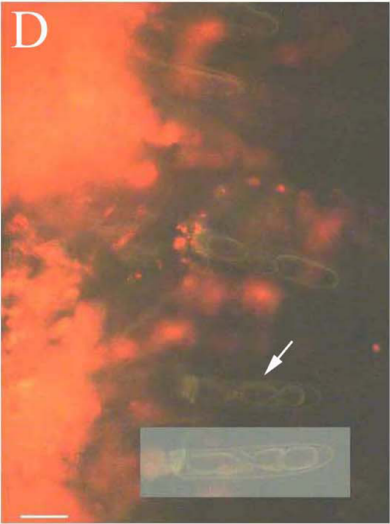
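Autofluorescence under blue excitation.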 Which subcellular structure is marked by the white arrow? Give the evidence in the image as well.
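The arrow points to a trichome whose content is broken into several bubble-like compartments. The enlarged inset shows a row of rounded bubbles inside the cell outline. So: foam-like protoplast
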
